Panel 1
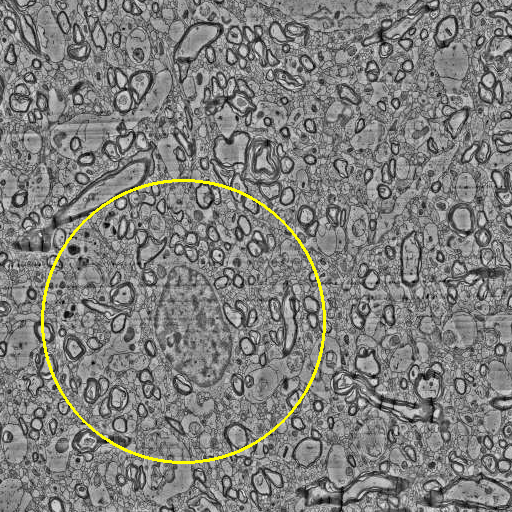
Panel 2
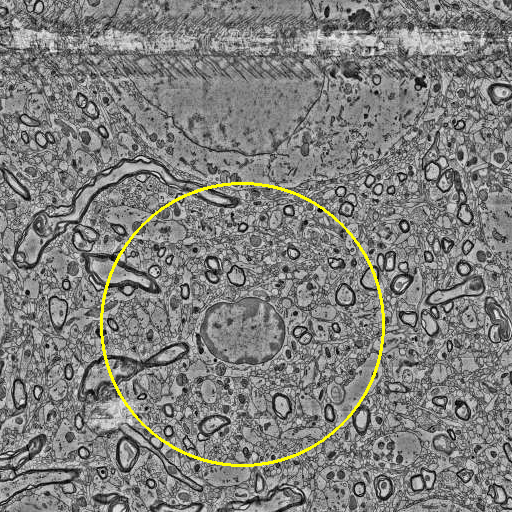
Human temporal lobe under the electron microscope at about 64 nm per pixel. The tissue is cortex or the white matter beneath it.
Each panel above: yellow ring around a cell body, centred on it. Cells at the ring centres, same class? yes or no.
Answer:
no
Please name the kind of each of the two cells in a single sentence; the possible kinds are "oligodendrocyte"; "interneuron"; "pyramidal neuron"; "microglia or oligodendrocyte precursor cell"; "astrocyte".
In the first picture the ring is centred on an oligodendrocyte, and in the second on a microglial cell or oligodendrocyte precursor cell.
